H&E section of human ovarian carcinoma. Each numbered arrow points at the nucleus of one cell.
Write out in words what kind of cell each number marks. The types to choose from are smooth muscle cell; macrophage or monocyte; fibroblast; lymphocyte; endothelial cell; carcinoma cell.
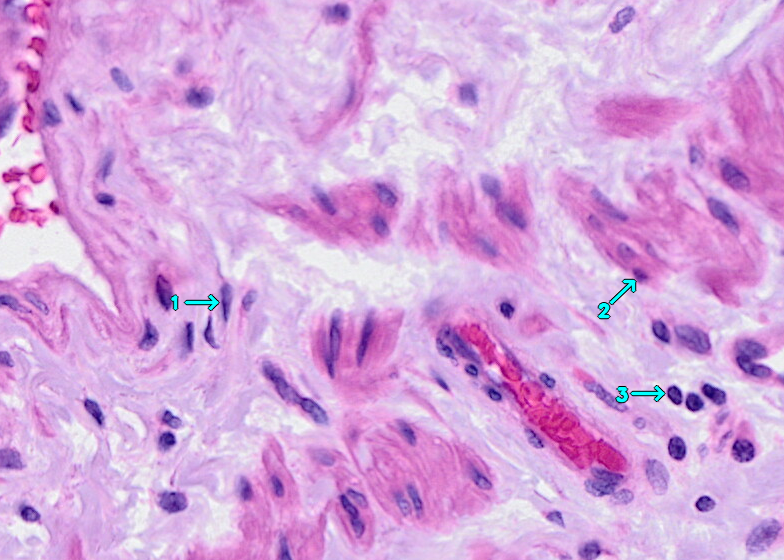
Cell 1 is a fibroblast. Cell 2 is a smooth muscle cell. Cell 3 is a lymphocyte.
